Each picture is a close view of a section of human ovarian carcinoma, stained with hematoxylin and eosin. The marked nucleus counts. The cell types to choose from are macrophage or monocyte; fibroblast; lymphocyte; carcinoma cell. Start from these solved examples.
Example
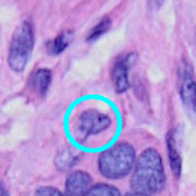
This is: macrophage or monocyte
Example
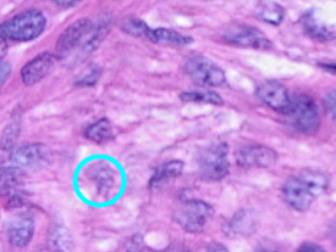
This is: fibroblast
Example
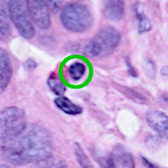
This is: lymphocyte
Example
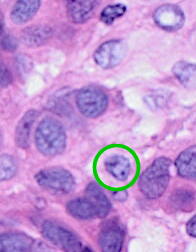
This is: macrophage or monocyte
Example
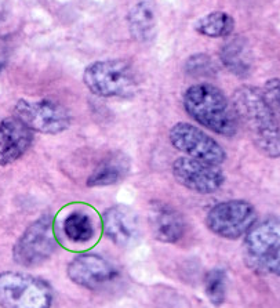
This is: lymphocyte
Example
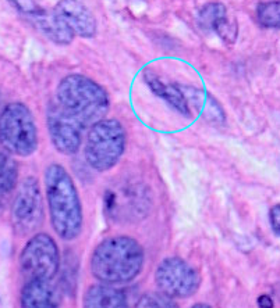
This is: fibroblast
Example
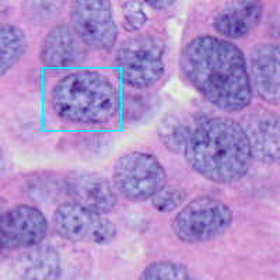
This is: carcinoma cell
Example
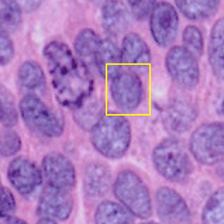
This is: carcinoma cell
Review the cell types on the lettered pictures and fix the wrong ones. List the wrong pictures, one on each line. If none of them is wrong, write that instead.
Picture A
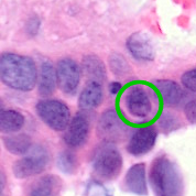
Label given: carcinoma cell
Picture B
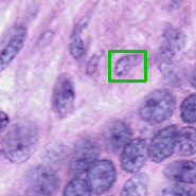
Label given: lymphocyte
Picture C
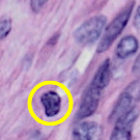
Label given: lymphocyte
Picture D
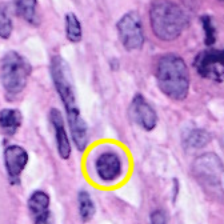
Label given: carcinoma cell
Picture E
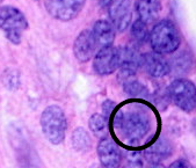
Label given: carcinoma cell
B should be fibroblast, not lymphocyte
D should be lymphocyte, not carcinoma cell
